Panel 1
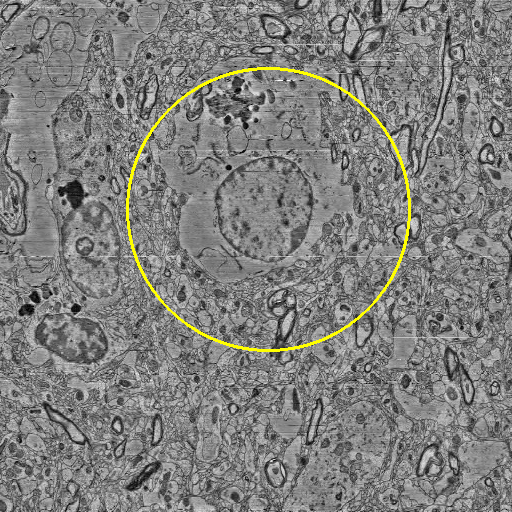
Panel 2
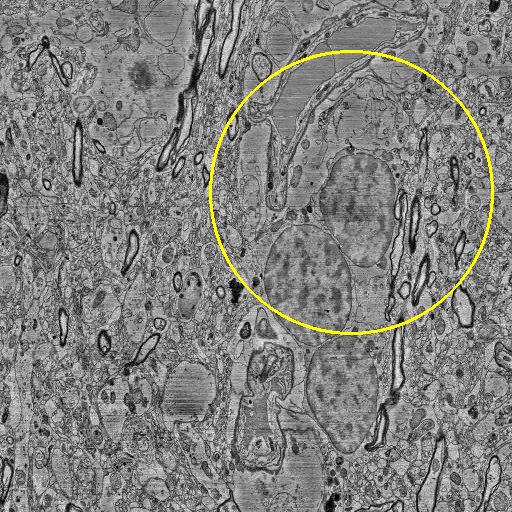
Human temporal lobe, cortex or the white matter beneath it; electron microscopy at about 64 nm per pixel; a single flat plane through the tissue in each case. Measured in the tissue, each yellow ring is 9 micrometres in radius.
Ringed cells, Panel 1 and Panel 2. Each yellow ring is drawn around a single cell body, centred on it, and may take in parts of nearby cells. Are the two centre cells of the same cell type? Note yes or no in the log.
no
